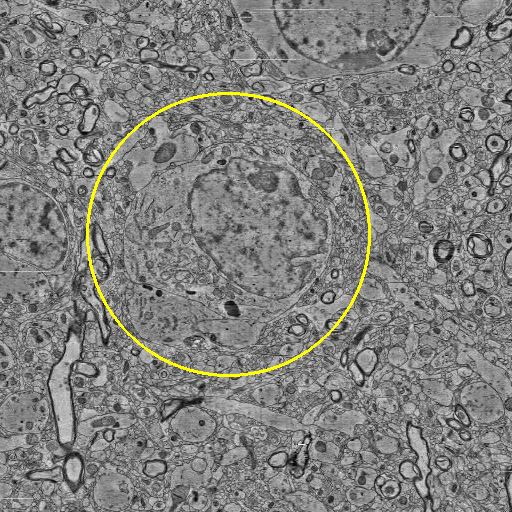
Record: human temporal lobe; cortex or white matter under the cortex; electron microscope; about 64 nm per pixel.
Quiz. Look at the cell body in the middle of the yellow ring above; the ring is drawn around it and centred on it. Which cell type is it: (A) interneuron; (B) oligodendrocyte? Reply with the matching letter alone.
A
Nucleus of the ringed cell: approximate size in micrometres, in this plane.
In this plane the nucleus is about 10 micrometres by 8.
